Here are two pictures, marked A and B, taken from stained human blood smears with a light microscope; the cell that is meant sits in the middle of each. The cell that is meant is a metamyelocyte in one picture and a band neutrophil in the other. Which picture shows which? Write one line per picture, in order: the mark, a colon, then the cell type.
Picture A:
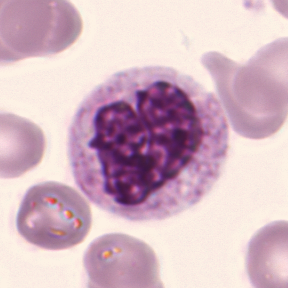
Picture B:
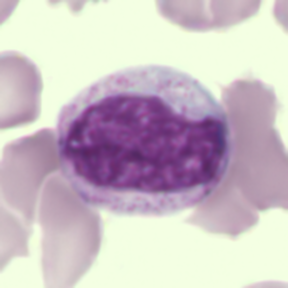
A: band neutrophil
B: metamyelocyte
